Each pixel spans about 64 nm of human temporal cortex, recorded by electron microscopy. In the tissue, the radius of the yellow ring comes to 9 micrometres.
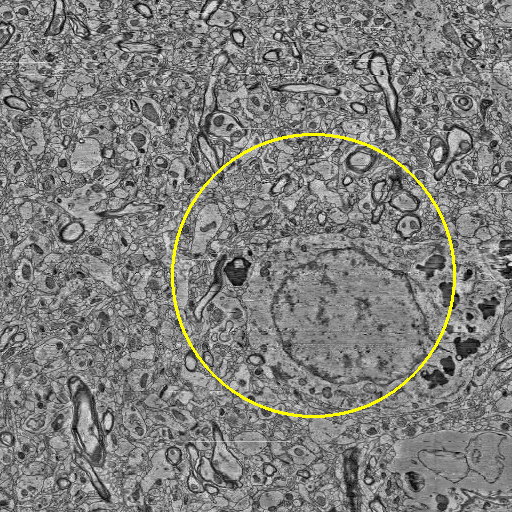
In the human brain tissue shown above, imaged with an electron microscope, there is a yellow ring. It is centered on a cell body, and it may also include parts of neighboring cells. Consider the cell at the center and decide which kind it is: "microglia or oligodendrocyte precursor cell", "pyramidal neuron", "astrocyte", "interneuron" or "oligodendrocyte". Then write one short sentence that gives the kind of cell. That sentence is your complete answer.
This centered cell body is that of an interneuron.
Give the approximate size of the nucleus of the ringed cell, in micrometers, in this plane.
The ringed cell's nucleus measures approximately 10 by 9 micrometres in this plane.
